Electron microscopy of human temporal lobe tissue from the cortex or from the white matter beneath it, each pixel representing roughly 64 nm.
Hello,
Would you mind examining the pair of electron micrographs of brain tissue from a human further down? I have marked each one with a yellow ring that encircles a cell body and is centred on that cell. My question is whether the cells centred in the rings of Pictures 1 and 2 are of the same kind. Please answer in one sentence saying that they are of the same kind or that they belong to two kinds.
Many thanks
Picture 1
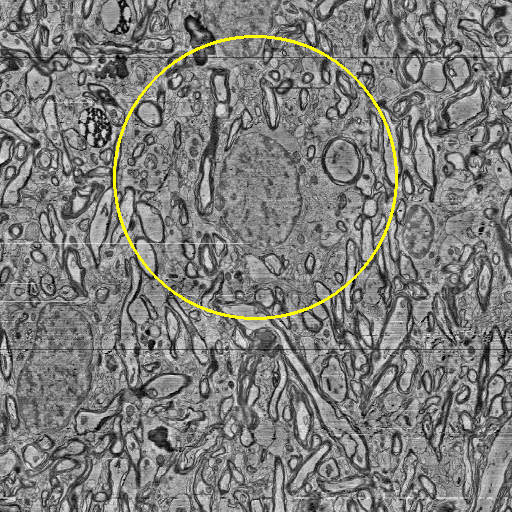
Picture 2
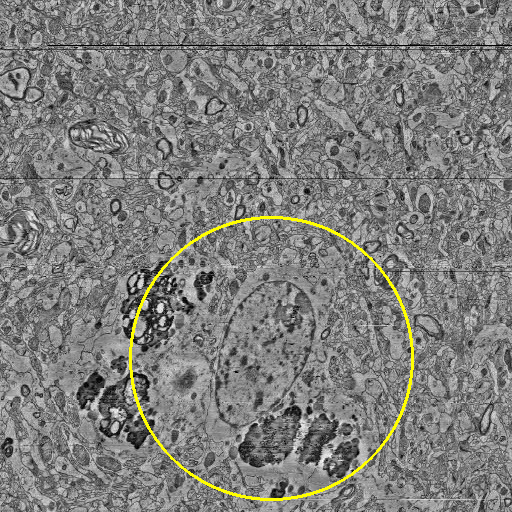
In Pictures 1 and 2, the cells at the heart of the rings belong to two kinds.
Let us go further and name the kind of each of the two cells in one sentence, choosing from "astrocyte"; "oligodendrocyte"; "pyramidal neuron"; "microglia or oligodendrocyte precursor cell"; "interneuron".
The ring of the first picture is on an oligodendrocyte, the ring of the second on an astrocyte.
